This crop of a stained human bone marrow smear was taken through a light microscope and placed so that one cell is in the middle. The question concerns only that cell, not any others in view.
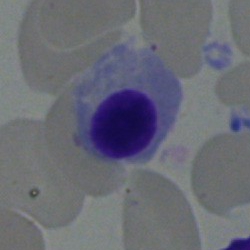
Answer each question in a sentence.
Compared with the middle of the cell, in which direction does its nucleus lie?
The nucleus lies toward the bottom of the cell.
